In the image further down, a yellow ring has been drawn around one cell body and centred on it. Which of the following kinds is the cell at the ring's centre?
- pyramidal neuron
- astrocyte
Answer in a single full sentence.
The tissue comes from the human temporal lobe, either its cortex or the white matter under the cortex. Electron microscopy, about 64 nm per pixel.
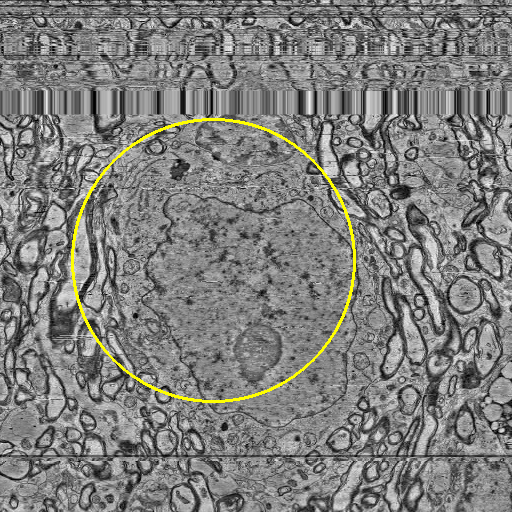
In the picture, the cell sitting at the centre of the yellow ring is a pyramidal neuron.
